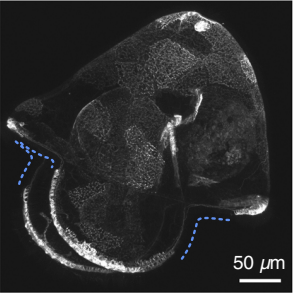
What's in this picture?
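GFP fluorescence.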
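A whole helmet-shaped pilidium larva seen in fluorescence, with a bright marginal ciliated band running around the edge of the lobes and lappets. Over the body wall the signal forms a patchwork: some fields of cells are bright, with a fine mesh-like cytoplasmic pattern outlining many small polygonal cells, while neighbouring broad regions are dark, including the notches beside the lower lappet and much of the upper body. Inside, a rounded internal chamber near the stomach shows further bright patches of small cells, and a strongly fluorescent elongated ridge lies near its entrance.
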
